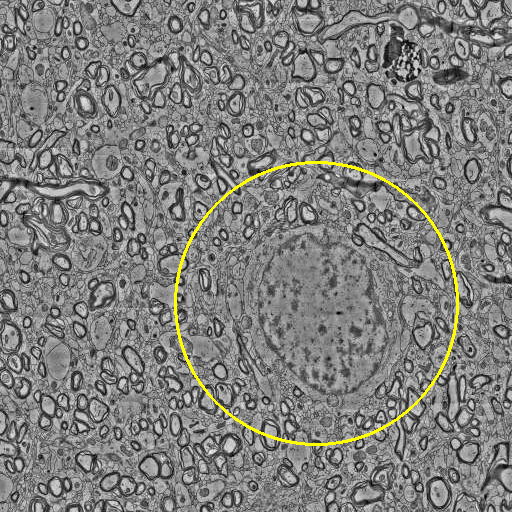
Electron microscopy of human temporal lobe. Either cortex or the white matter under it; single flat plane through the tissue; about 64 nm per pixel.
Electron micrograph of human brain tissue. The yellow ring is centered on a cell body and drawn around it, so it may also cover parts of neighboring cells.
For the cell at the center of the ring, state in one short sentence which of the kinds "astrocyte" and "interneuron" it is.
This ring is centered on an interneuron.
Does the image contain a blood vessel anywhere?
No, the picture includes no blood vessel.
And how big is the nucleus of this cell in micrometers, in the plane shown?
About 11 by 8 micrometers for the nucleus, in this plane.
